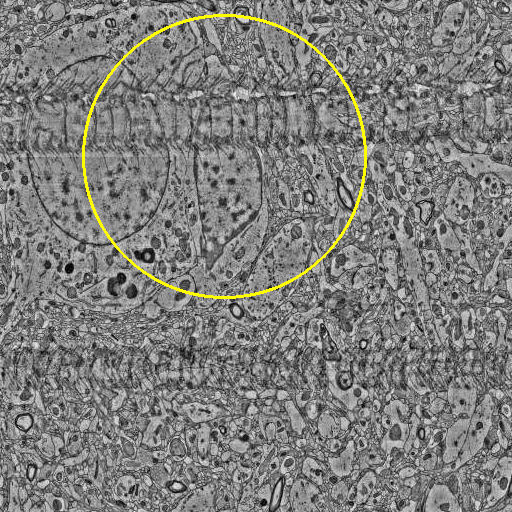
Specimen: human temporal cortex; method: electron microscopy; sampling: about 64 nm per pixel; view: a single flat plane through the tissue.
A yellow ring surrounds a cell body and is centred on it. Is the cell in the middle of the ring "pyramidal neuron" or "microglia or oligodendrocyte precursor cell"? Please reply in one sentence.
The ring is centred on a microglial cell or oligodendrocyte precursor cell.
